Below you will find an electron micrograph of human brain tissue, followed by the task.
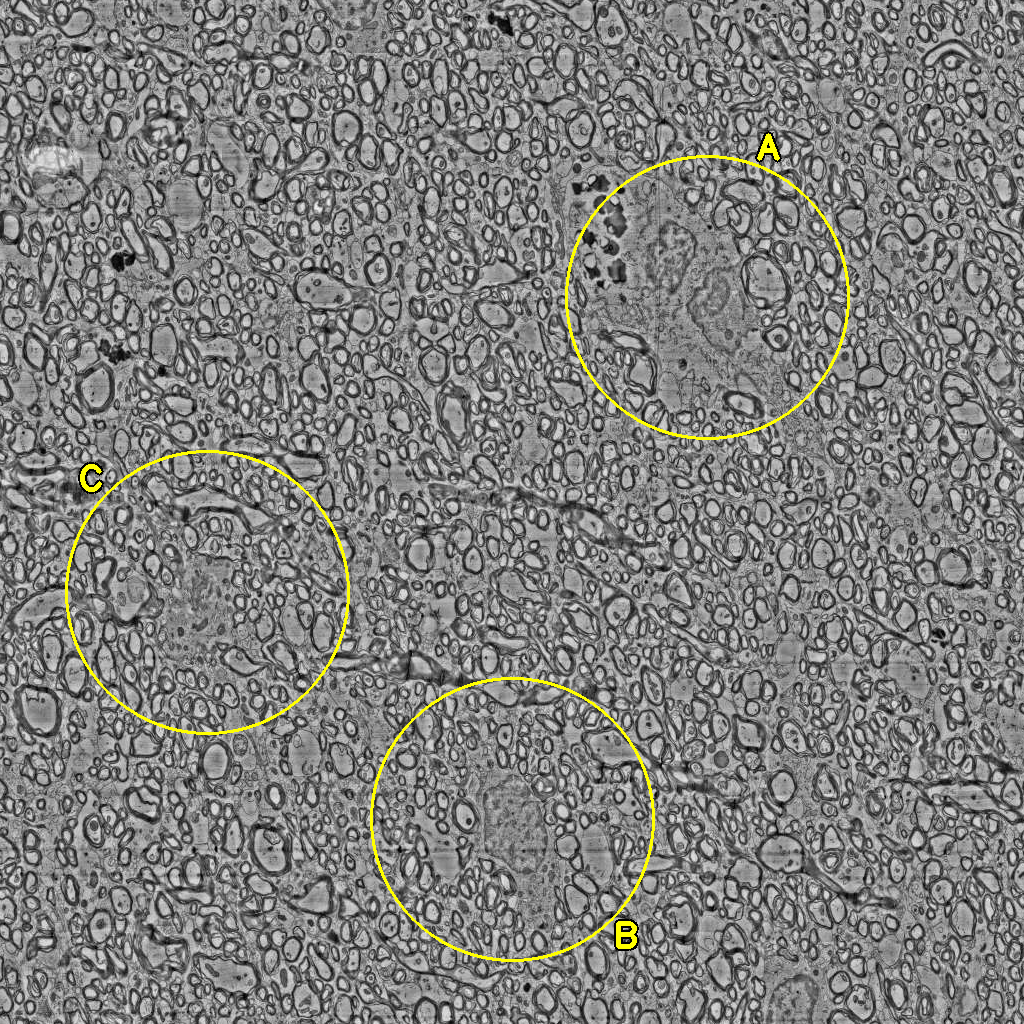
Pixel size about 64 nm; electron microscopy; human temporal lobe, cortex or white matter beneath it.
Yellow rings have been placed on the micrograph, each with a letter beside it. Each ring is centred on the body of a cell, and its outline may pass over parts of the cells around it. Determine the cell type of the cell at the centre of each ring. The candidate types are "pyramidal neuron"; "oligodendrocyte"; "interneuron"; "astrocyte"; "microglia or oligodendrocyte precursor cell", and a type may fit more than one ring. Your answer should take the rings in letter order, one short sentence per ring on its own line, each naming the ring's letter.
The centre of ring A falls on an oligodendrocyte.
The centre of ring B falls on an oligodendrocyte.
The centre of ring C falls on an oligodendrocyte.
